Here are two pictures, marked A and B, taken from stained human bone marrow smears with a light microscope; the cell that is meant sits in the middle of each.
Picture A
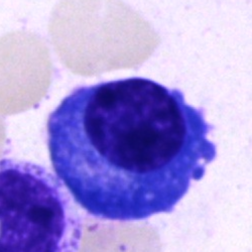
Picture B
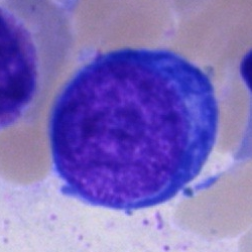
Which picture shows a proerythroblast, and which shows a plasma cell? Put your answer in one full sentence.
Picture A shows a plasma cell and picture B shows a proerythroblast.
